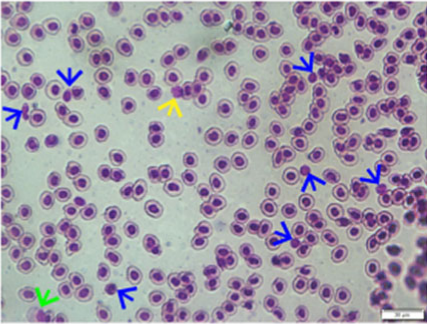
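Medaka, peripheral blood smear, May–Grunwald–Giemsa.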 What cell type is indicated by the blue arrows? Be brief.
thrombocyte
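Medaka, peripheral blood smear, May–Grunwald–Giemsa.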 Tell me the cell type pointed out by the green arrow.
Large mononuclear cell.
